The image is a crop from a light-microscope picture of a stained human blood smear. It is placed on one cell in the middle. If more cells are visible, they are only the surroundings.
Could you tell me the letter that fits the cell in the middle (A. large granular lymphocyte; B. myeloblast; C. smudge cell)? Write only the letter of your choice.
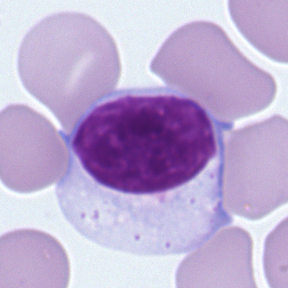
A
